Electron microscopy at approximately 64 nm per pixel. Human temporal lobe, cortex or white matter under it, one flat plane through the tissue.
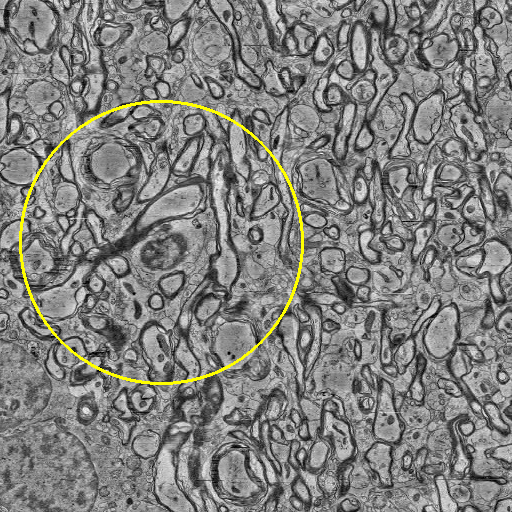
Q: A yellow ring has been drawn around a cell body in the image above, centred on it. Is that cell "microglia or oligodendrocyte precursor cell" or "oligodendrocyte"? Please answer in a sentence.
The ring surrounds the cell body of a microglial cell or oligodendrocyte precursor cell.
